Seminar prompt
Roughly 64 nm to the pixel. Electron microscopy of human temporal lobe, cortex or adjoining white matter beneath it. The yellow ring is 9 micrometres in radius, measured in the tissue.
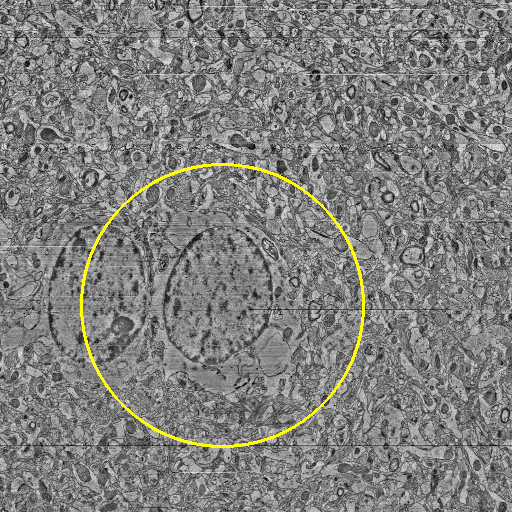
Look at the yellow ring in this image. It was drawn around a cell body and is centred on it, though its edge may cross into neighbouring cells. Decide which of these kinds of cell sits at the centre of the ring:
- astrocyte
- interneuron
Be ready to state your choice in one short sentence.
The kind of cell at the ring's centre is an astrocyte.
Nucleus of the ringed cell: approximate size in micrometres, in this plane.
In this plane, the nucleus is roughly 9 by 7 micrometres.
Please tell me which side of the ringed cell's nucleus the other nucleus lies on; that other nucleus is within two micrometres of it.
The second nucleus lies to the left of it.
